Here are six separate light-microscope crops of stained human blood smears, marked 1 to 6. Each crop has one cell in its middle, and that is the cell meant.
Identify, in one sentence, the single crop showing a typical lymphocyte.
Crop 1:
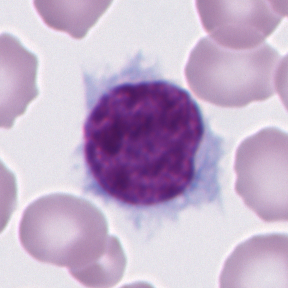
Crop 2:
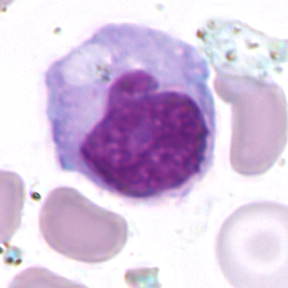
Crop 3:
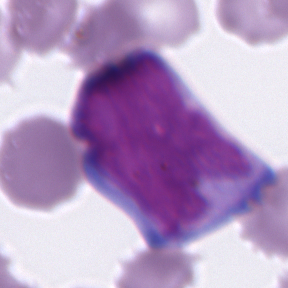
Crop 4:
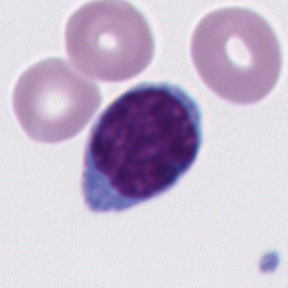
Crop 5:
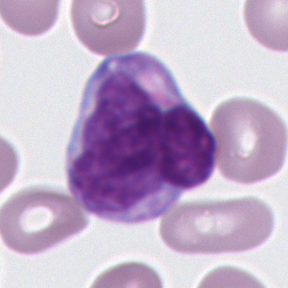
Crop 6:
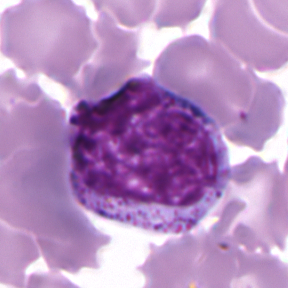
Of all the crops, crop 4 is the one showing a typical lymphocyte.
